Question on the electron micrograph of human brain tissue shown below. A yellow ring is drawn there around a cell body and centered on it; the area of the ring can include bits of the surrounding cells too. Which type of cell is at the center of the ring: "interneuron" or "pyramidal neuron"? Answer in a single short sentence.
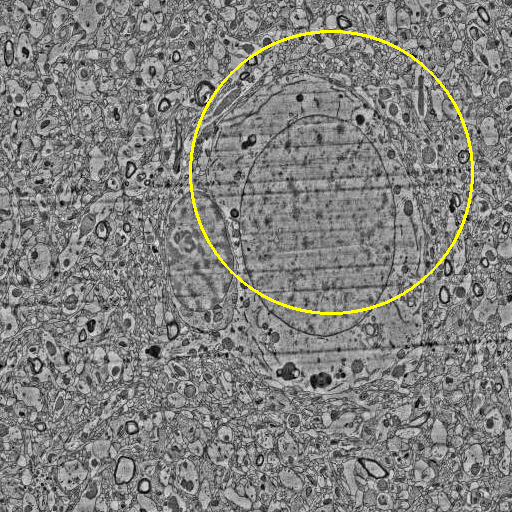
The ring is centered on a pyramidal neuron.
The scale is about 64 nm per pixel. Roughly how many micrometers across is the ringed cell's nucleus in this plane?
The nucleus of the ringed cell is approximately 14 by 10 micrometres in this plane.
